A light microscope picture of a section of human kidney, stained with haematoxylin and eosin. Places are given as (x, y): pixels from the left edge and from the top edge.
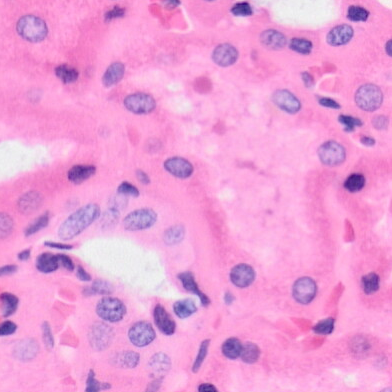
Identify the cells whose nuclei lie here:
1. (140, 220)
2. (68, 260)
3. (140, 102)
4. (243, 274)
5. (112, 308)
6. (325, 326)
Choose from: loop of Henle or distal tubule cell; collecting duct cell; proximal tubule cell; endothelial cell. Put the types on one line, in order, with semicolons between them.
collecting duct cell; collecting duct cell; proximal tubule cell; proximal tubule cell; collecting duct cell; endothelial cell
